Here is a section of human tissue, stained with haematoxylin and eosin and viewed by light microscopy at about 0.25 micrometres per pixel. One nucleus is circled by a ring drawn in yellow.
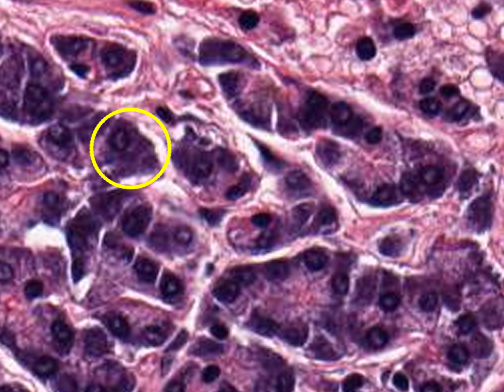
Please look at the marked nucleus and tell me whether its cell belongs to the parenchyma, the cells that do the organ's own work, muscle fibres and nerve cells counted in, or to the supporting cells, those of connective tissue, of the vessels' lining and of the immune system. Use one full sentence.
The cell whose nucleus is marked is a parenchymal cell, namely a pancreatic acinar cell.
